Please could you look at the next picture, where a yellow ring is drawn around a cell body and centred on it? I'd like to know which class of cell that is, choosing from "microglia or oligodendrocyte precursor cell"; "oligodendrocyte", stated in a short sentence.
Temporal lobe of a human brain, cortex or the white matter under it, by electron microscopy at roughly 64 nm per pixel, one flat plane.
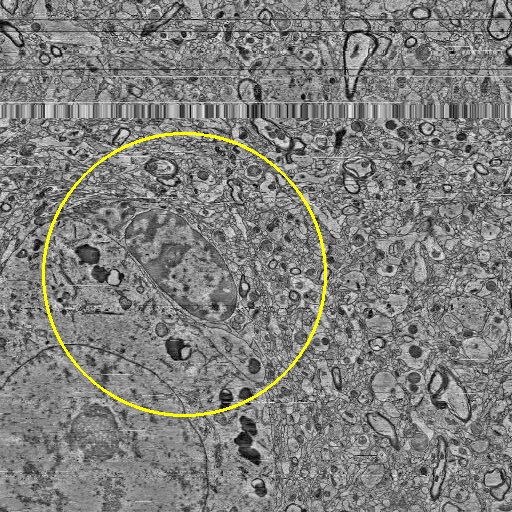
The ring's centre lies on a microglial cell or oligodendrocyte precursor cell.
